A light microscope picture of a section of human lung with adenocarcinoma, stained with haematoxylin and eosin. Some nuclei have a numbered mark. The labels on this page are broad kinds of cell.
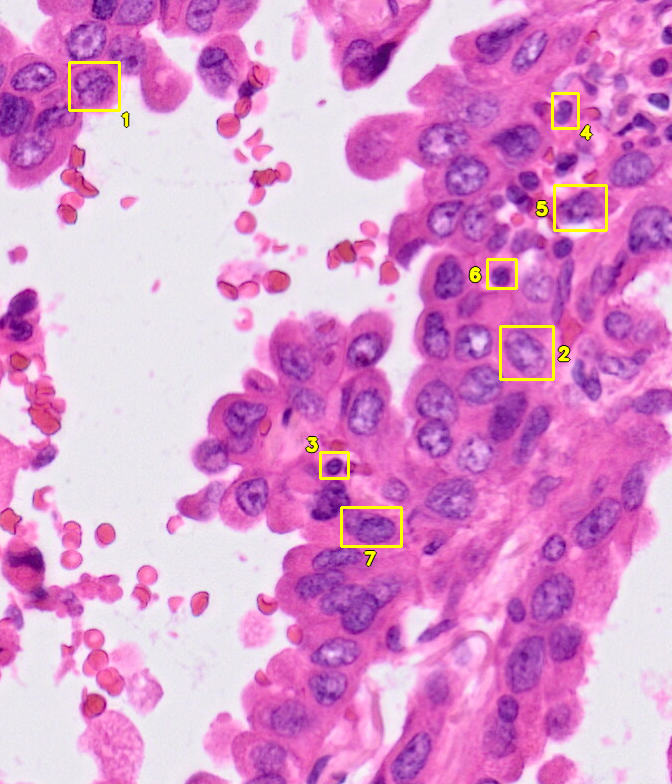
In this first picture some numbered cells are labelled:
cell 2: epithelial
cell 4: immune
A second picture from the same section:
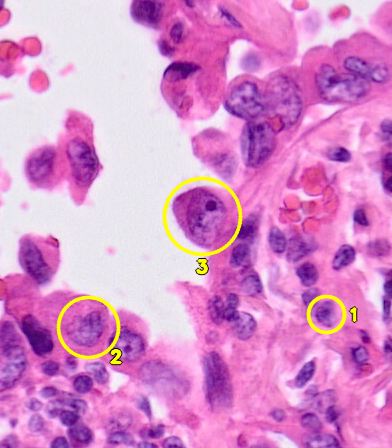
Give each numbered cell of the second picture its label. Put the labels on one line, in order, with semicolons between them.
immune; epithelial; epithelial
